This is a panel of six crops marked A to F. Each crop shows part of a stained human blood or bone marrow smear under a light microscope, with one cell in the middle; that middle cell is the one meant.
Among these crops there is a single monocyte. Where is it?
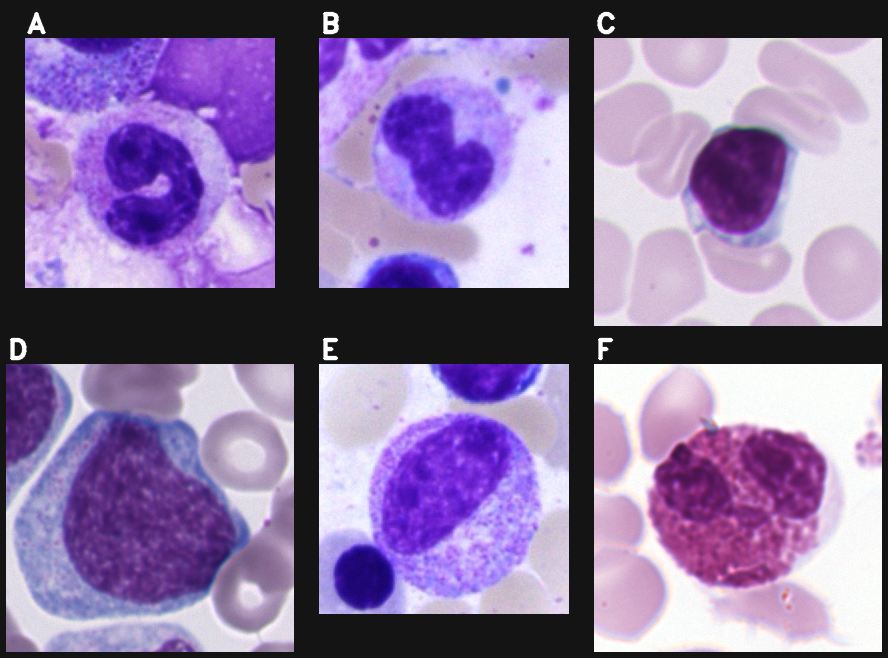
B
